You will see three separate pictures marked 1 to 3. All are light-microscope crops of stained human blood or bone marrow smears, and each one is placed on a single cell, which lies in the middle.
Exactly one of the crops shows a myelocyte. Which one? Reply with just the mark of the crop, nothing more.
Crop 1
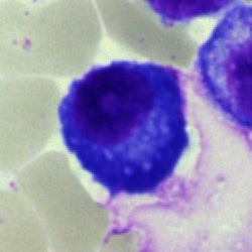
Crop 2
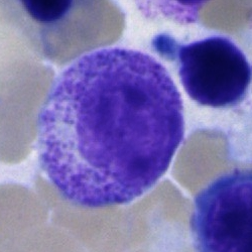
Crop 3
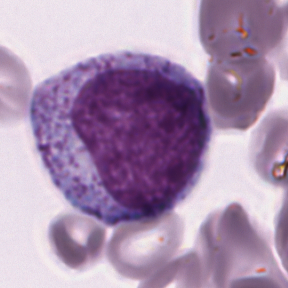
2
